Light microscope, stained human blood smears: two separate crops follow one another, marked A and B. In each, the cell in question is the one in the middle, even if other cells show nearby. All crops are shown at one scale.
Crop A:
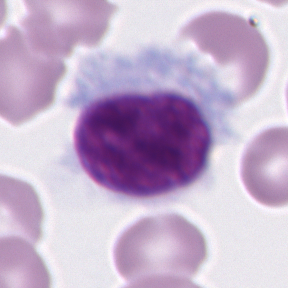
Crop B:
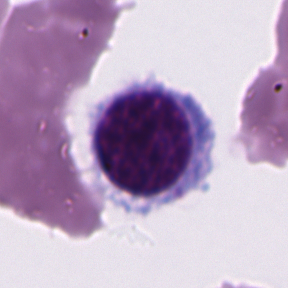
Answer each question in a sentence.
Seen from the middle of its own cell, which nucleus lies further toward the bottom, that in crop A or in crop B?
Seen within its cell, the nucleus in crop A lies further toward the bottom.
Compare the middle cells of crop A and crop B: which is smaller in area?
The cell in crop B is smaller; the one in crop A has about 1.5 times its area.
